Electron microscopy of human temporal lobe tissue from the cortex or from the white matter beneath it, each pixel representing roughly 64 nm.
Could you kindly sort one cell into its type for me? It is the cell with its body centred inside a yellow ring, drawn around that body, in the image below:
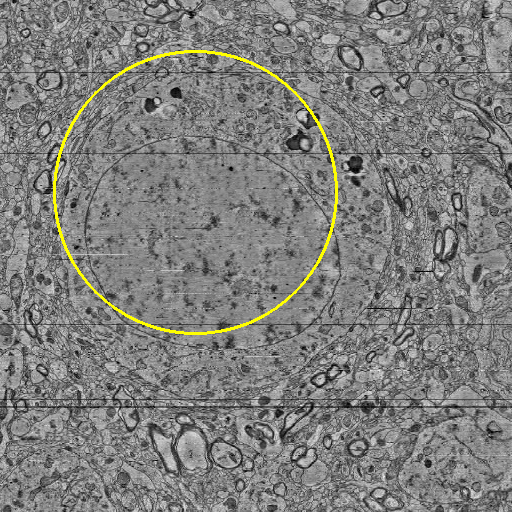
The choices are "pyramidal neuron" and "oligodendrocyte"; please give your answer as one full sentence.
The cell whose body lies centred in the yellow ring here is a pyramidal neuron.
